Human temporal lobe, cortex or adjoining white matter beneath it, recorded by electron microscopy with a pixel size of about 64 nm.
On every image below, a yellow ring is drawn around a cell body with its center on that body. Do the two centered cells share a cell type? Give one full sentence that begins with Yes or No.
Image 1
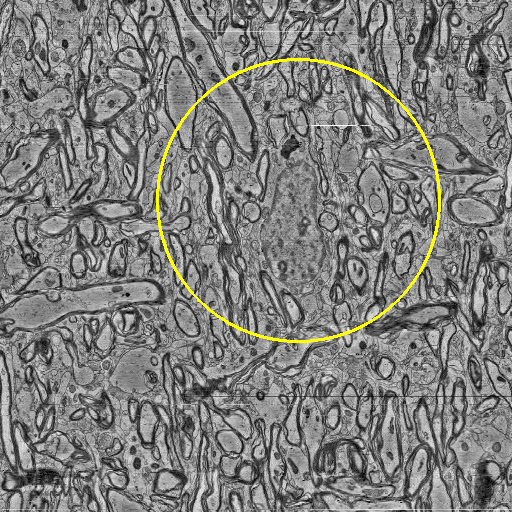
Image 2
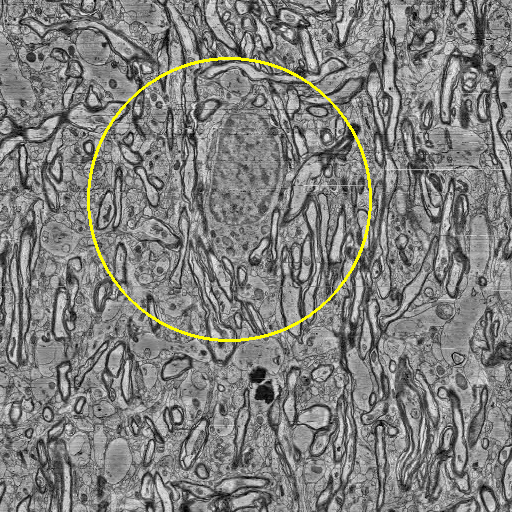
Yes, the centered cells in the two images are of a single cell type.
